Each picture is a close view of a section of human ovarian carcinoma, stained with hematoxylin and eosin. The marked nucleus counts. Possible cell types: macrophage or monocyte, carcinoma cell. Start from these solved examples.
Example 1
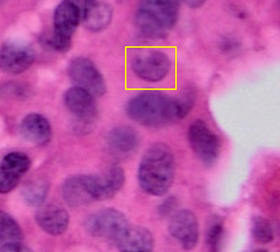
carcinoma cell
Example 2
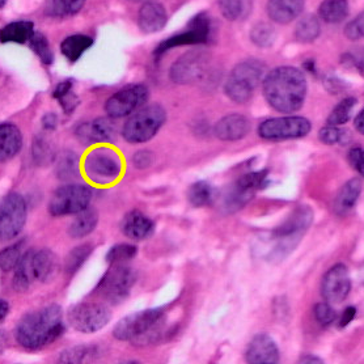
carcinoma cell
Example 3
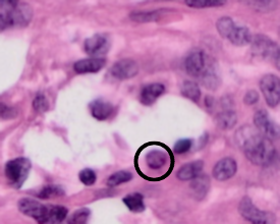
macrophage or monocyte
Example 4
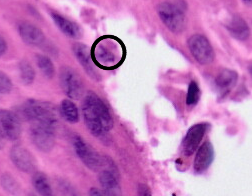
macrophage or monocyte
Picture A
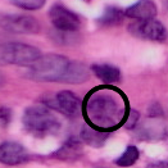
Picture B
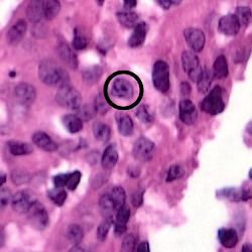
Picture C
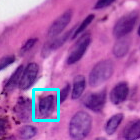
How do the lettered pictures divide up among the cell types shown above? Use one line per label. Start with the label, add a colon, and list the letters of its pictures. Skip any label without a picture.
macrophage or monocyte: B, C
carcinoma cell: A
